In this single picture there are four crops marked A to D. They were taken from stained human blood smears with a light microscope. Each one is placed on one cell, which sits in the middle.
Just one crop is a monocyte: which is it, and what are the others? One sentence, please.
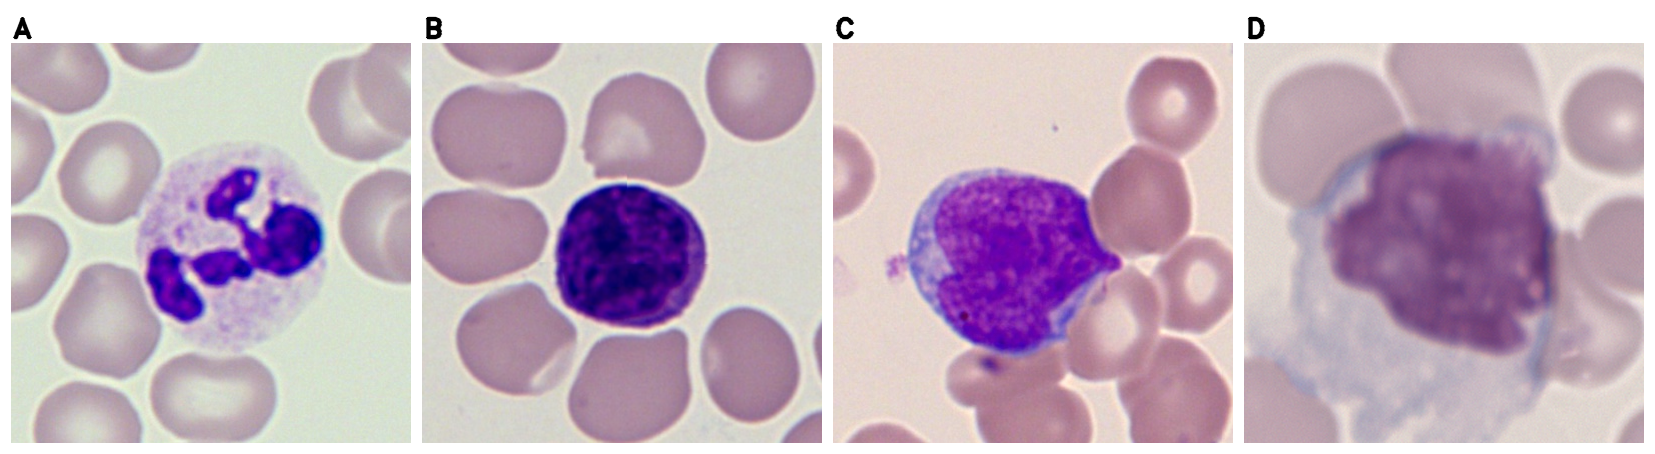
In the case of crop D, the cell is a monocyte, while crop A is a segmented neutrophil, crop B is a lymphocyte and crop C is a blast.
